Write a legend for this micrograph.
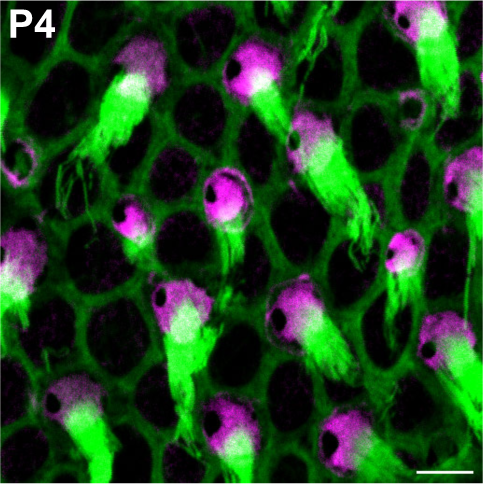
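This is a sensory epithelium viewed from the apical surface, showing hair cells among supporting cells. Hair cells have round apical surfaces filled with magenta, often with a small dark spot, and each bears a long, tapering green tuft of projections leaning in a similar direction. Hair cells are scattered singly, each surrounded by supporting cells.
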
